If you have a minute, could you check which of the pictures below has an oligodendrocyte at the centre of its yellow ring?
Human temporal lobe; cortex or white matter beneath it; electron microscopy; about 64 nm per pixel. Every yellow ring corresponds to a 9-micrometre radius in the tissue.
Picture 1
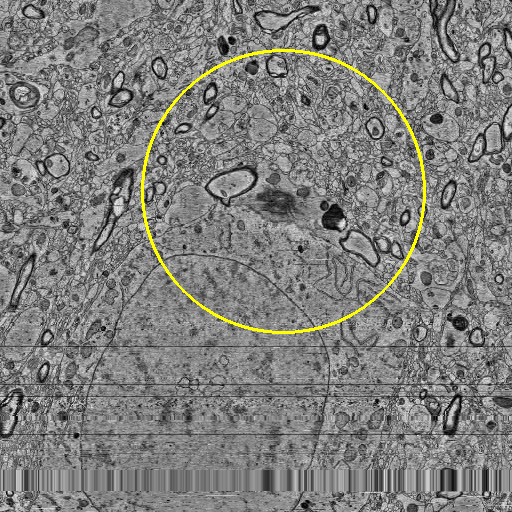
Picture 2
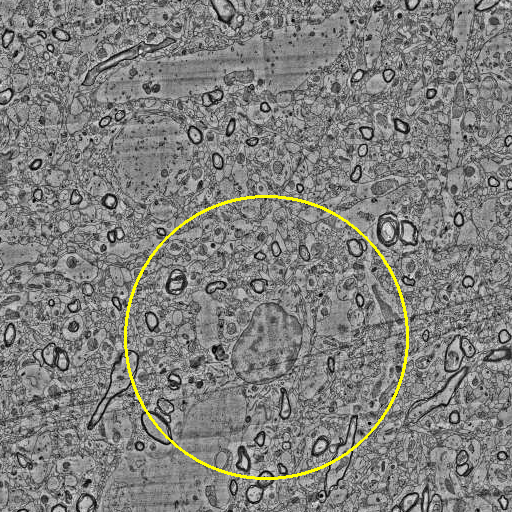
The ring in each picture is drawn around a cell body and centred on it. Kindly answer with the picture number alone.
1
